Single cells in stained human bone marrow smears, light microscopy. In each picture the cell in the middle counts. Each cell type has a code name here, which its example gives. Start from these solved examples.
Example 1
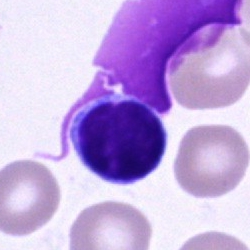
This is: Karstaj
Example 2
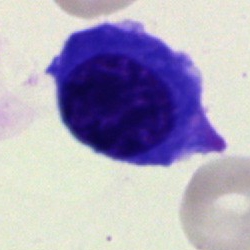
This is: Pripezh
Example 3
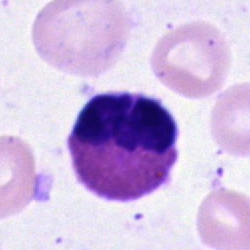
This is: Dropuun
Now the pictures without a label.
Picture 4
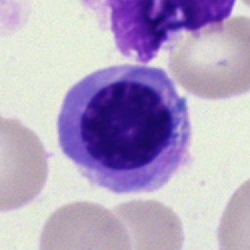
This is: Pripezh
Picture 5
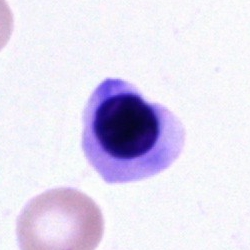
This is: Pripezh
